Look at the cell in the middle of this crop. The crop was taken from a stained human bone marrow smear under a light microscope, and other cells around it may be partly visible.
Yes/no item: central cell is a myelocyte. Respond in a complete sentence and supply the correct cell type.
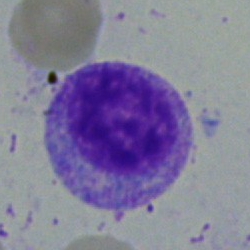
Yes, the cell at the middle is a myelocyte.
